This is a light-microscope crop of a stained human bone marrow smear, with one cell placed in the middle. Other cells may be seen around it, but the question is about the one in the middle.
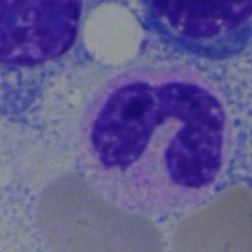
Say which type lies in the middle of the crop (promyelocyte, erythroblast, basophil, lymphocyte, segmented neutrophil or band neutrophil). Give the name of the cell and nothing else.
segmented neutrophil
